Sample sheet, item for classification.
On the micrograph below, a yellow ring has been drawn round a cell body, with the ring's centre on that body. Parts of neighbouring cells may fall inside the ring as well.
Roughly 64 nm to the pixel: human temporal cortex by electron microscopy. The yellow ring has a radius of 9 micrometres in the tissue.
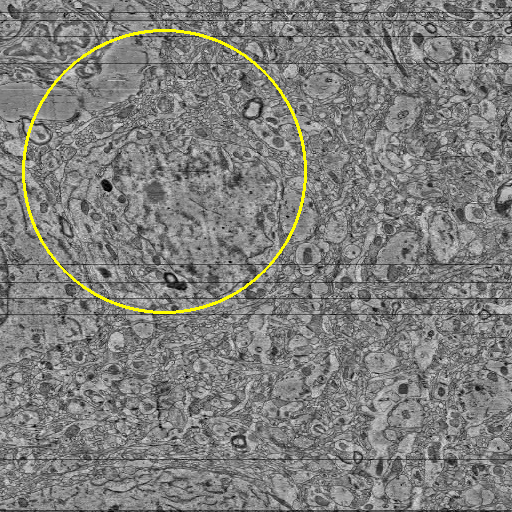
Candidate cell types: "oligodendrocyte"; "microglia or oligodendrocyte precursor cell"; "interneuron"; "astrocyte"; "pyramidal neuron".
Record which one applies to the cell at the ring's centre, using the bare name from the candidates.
interneuron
